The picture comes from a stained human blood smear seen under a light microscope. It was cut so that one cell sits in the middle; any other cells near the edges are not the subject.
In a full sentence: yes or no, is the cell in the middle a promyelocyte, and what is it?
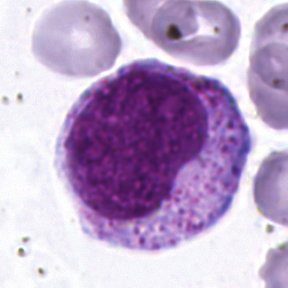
Yes, the cell that lies centrally is a promyelocyte.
